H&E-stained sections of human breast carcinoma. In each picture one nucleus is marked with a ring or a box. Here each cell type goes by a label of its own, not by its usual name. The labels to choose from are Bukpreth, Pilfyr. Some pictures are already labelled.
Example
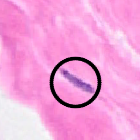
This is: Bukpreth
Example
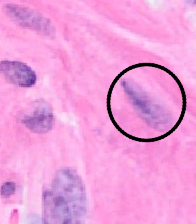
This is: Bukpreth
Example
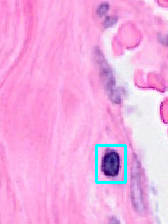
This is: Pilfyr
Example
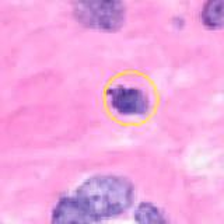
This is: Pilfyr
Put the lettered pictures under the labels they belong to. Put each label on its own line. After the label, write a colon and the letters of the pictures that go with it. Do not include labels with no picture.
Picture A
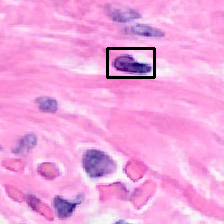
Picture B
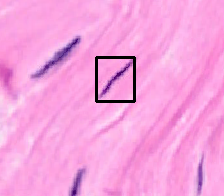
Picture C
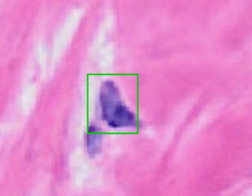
Bukpreth: B
Pilfyr: A, C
